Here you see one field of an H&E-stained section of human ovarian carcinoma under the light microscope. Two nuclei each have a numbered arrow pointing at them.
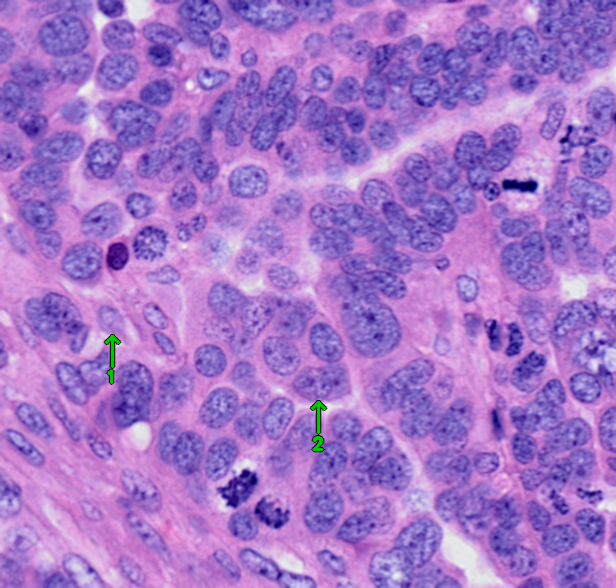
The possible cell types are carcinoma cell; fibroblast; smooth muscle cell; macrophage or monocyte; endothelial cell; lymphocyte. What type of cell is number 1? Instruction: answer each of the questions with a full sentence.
Nucleus 1 in this section belongs to a fibroblast.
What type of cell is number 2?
The cell with the number 2 is a carcinoma cell.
